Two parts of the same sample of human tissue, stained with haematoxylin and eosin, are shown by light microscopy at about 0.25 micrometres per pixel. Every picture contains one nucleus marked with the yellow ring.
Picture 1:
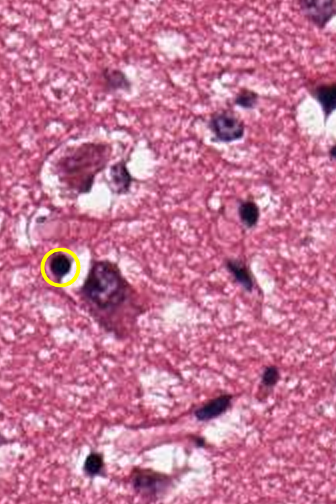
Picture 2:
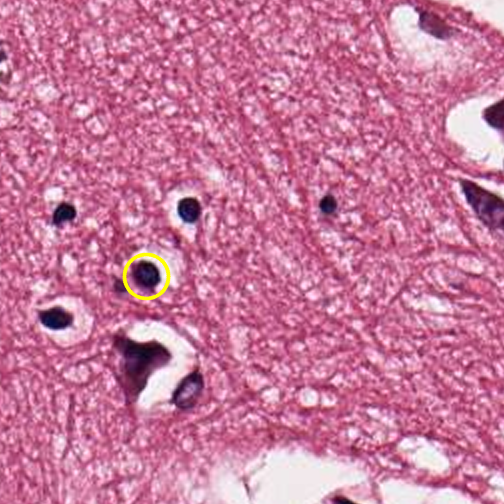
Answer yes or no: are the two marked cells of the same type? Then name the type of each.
Yes, both are oligodendrocytes.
